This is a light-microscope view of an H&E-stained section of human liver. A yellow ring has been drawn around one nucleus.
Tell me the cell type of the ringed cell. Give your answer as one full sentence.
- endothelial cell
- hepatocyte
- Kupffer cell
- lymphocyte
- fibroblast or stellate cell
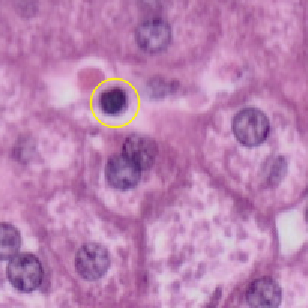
The ringed cell appears to be a lymphocyte.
